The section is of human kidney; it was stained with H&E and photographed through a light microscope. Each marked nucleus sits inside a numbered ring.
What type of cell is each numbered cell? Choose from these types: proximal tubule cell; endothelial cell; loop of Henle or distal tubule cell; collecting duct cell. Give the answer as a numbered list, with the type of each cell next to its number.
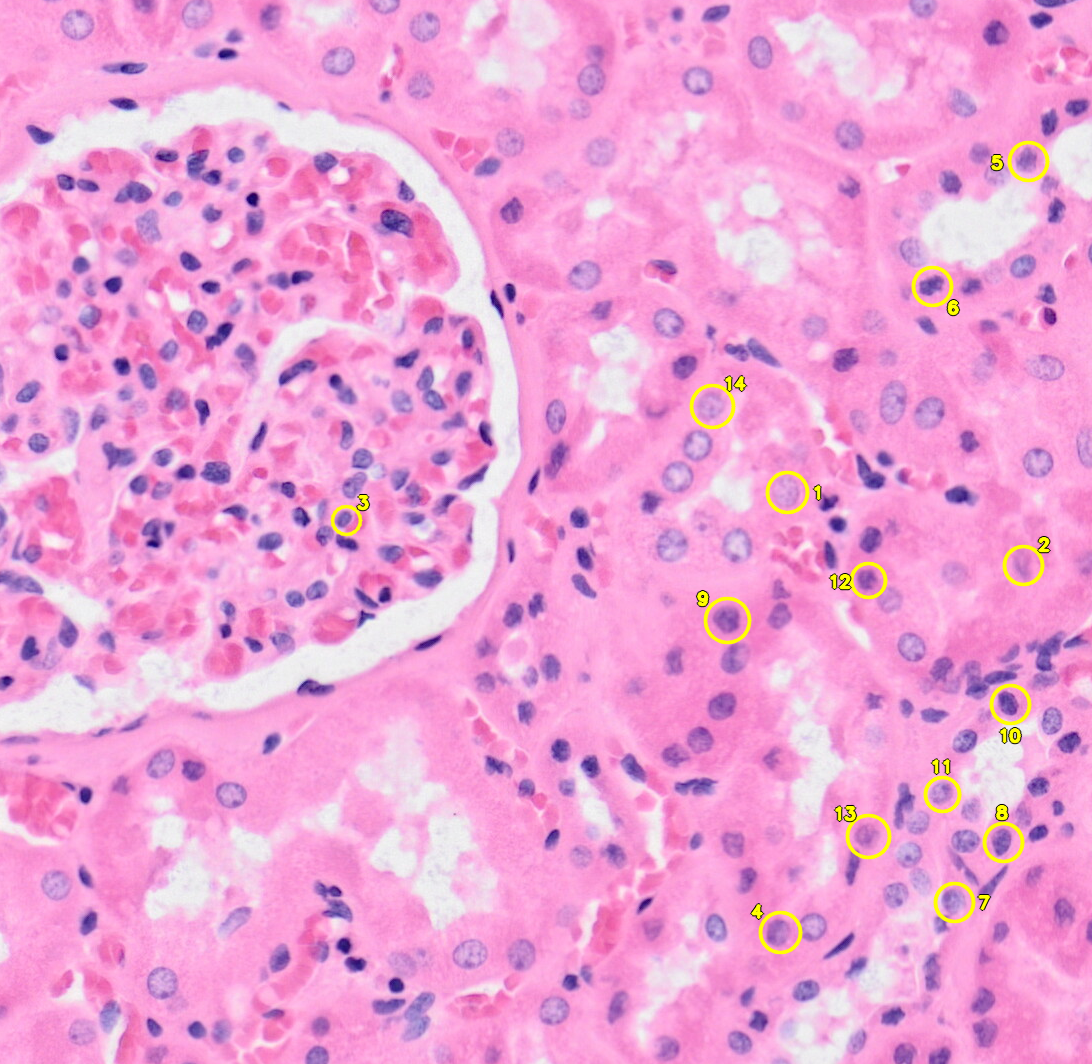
1. proximal tubule cell
2. proximal tubule cell
3. endothelial cell
4. proximal tubule cell
5. loop of Henle or distal tubule cell
6. loop of Henle or distal tubule cell
7. loop of Henle or distal tubule cell
8. loop of Henle or distal tubule cell
9. proximal tubule cell
10. loop of Henle or distal tubule cell
11. loop of Henle or distal tubule cell
12. proximal tubule cell
13. proximal tubule cell
14. proximal tubule cell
